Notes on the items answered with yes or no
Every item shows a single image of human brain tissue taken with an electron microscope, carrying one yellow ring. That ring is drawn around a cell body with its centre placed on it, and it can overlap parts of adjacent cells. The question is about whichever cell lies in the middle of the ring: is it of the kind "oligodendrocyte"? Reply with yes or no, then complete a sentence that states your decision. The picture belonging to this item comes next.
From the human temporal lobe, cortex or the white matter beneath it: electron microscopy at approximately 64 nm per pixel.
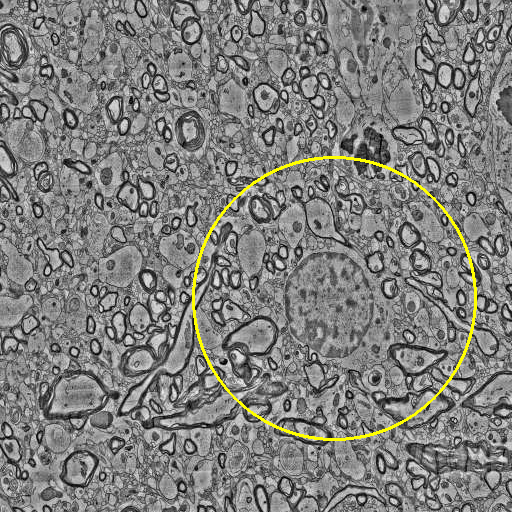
Yes, this micrograph shows a cell of that kind in the middle of the ring.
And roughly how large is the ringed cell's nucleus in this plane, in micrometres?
About 7 by 6 micrometers for the nucleus, in this plane.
